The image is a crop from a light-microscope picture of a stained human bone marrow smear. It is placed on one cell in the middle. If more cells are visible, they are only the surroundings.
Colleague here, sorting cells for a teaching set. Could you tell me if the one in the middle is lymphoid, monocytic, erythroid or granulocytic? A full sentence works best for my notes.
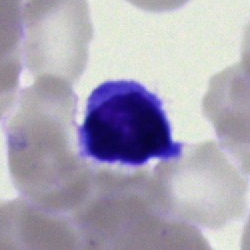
Counted among cells of the lymphoid lineage is the central cell.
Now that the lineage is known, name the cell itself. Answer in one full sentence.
Classified as a lymphocyte is the cell in the middle of this crop.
